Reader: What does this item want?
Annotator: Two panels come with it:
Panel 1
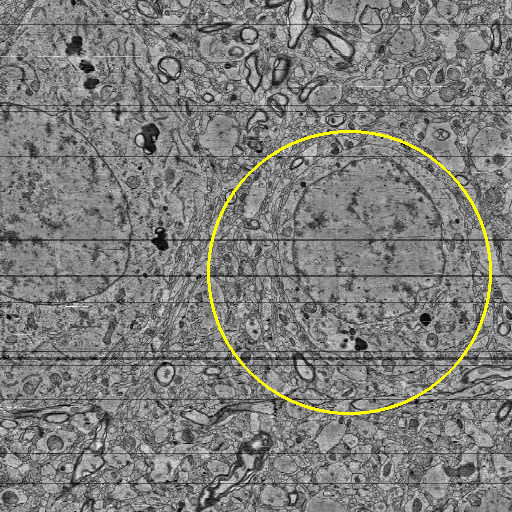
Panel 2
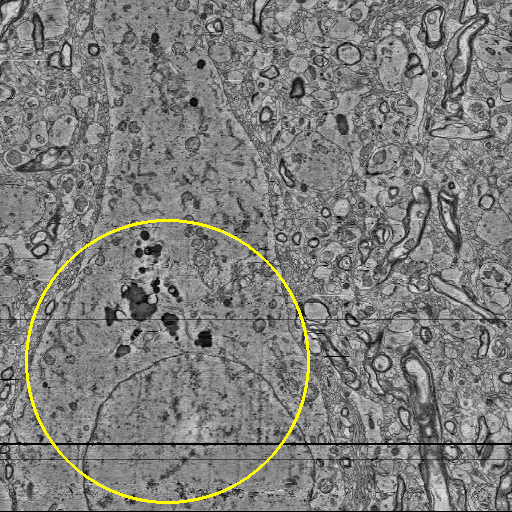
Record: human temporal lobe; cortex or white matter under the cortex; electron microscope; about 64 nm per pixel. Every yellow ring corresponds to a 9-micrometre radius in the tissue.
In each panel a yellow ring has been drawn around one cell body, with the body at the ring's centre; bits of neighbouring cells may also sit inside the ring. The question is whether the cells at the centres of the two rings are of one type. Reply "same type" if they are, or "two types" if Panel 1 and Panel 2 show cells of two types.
same type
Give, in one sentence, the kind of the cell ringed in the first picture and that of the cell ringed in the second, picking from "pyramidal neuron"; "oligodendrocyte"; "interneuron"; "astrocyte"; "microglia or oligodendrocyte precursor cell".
Each one of the two ringed cells is a pyramidal neuron.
